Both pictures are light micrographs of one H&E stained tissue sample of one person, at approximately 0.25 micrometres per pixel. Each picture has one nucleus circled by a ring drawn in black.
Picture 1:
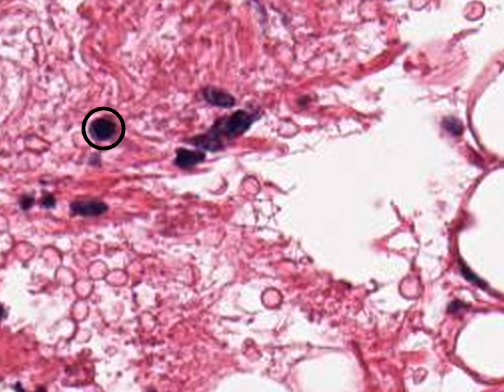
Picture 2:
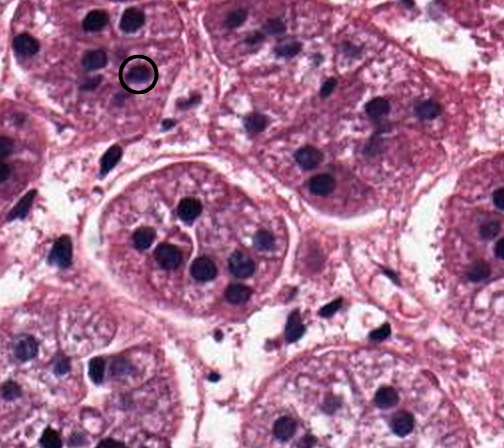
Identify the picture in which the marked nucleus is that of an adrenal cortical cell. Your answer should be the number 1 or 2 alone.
2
